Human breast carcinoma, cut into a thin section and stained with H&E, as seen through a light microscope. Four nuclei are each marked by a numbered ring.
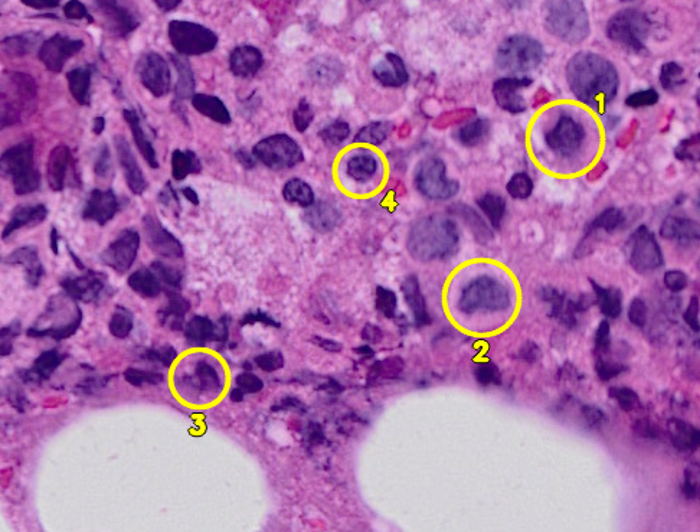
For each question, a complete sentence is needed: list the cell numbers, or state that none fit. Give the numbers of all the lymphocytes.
Only the cell numbered 4 is a lymphocyte; none of the others is.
